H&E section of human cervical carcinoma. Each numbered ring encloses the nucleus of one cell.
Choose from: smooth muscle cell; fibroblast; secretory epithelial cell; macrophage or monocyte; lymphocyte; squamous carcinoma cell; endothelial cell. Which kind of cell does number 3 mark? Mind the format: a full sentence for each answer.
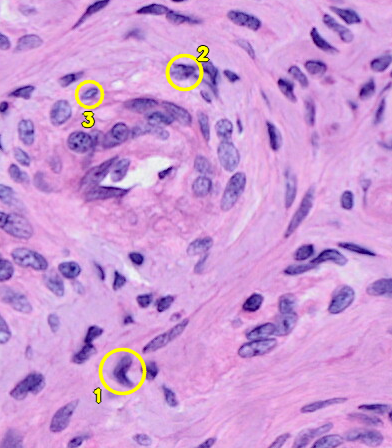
Of the numbered cells, the one labelled 3 is a smooth muscle cell.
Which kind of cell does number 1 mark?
Classified as a fibroblast is the cell with the number 1.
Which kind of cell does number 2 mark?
The numbered cell 2 is identified here as a fibroblast.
